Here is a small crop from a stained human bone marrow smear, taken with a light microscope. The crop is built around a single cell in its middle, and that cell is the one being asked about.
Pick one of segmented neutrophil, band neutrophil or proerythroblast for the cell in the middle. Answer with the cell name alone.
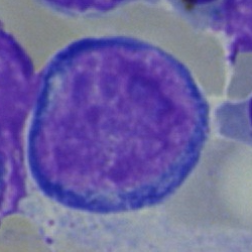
proerythroblast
